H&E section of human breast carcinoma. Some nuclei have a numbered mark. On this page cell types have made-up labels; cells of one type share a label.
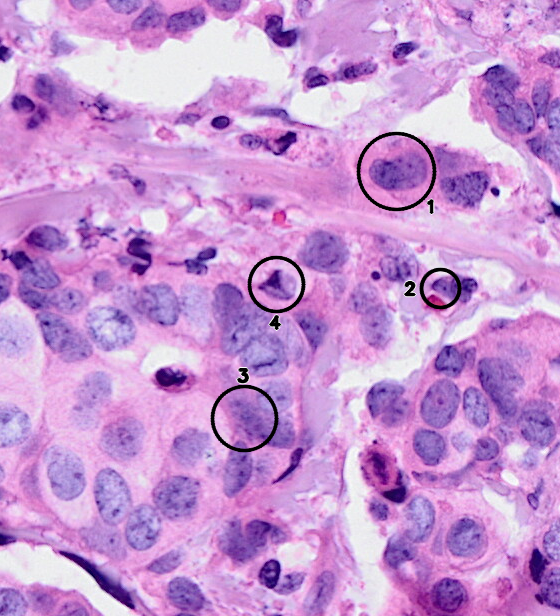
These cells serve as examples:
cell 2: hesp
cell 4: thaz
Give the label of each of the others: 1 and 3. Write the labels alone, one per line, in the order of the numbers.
thaz
thaz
